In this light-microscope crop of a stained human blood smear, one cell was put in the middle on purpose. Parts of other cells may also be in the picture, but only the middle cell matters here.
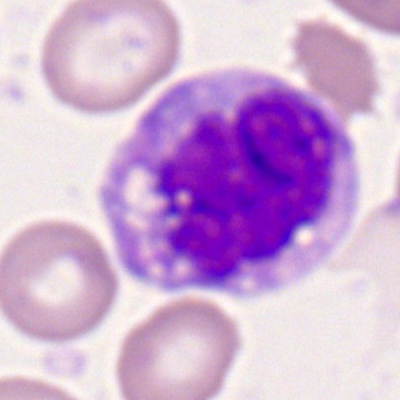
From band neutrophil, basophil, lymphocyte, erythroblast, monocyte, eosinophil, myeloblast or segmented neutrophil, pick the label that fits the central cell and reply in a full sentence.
The cell at the middle of the frame should be recorded as a monocyte.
